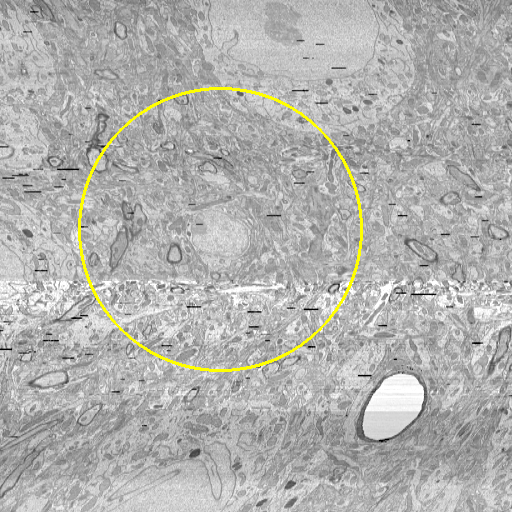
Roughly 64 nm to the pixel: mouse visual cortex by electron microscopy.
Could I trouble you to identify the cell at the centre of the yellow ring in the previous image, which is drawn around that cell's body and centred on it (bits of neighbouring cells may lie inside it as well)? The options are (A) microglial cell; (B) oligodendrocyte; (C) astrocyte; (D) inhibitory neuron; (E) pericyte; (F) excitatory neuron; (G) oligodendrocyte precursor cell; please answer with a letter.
G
